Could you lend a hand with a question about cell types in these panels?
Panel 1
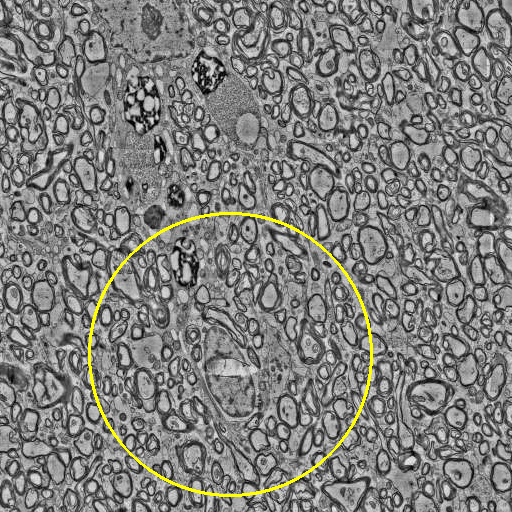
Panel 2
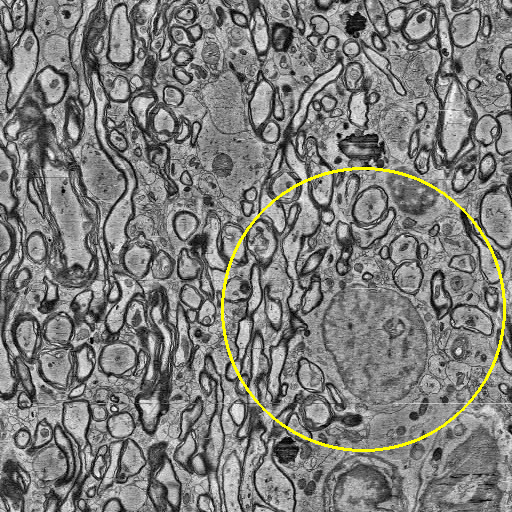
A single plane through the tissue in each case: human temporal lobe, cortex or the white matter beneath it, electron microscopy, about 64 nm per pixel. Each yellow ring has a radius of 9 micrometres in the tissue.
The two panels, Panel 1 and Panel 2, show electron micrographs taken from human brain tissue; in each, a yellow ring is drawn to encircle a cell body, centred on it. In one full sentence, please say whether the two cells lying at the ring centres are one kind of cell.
No, the cells at the ring centres in the two panels are two kinds of cell.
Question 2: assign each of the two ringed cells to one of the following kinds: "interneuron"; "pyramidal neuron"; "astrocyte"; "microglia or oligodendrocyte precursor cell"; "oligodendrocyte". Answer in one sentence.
The two cells are a microglial cell or oligodendrocyte precursor cell in the first picture and an oligodendrocyte in the second.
